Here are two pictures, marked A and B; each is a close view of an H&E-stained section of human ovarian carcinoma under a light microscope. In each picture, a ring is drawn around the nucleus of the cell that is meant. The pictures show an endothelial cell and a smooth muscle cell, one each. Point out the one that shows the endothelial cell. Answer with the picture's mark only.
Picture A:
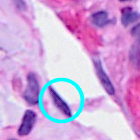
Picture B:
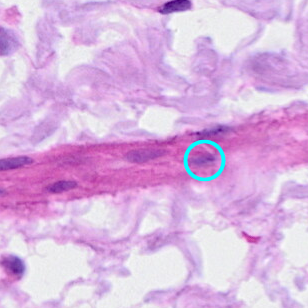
A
